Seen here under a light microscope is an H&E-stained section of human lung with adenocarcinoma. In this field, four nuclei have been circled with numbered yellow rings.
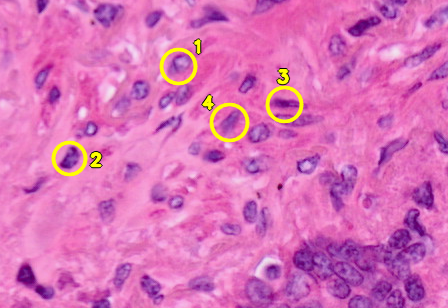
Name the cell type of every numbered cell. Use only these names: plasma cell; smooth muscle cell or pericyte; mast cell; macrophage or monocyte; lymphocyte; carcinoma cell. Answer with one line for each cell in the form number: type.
1: smooth muscle cell or pericyte
2: mast cell
3: smooth muscle cell or pericyte
4: smooth muscle cell or pericyte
